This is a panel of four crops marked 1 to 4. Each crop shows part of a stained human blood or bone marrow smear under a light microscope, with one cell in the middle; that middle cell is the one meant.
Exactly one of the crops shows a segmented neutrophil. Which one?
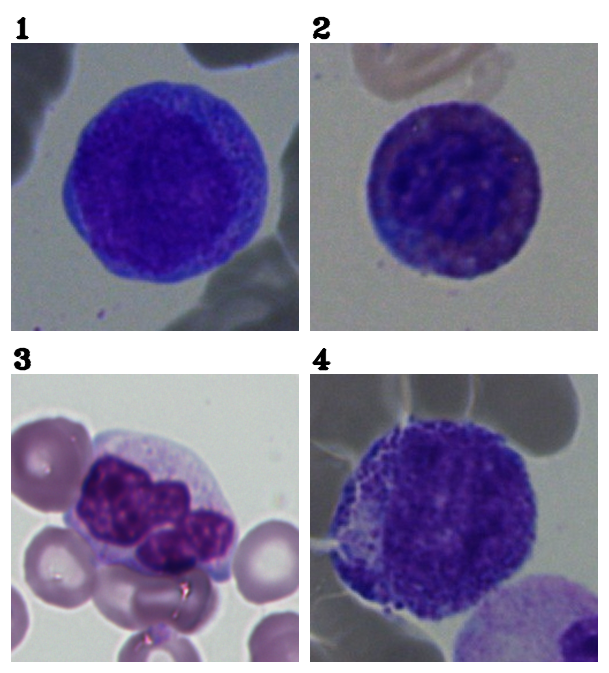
3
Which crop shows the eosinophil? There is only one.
2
